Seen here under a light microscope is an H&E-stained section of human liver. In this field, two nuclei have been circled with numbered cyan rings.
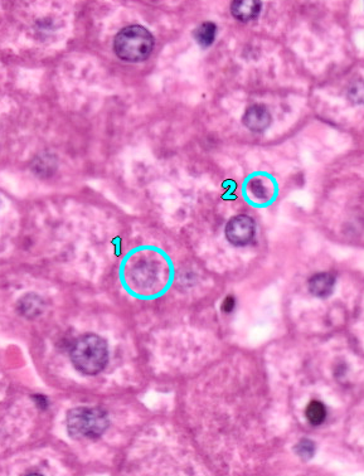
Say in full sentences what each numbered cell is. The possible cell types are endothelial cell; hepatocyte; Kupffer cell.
Cell 1 is a hepatocyte and cell 2 is a Kupffer cell.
